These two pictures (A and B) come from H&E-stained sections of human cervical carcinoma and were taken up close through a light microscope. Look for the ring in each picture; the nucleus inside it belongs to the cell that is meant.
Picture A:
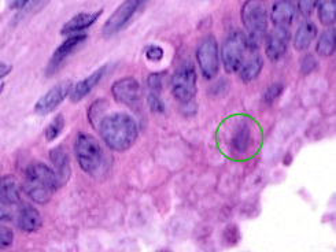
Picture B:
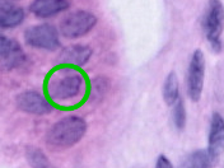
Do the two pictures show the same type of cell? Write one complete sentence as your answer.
Yes, both cells are secretory epithelial cells.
